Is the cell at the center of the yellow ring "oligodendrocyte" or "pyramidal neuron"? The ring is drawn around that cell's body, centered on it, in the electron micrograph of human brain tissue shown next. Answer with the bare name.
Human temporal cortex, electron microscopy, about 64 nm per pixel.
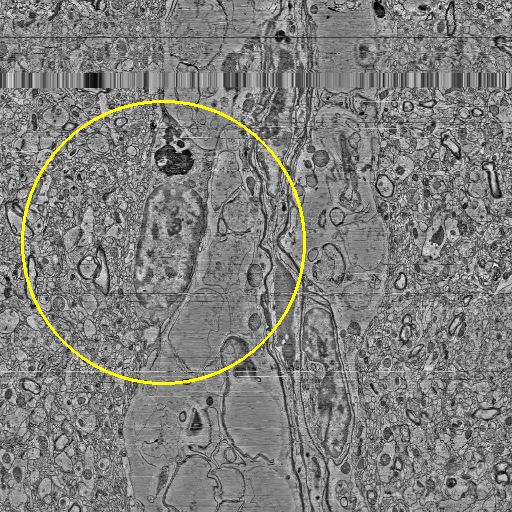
oligodendrocyte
